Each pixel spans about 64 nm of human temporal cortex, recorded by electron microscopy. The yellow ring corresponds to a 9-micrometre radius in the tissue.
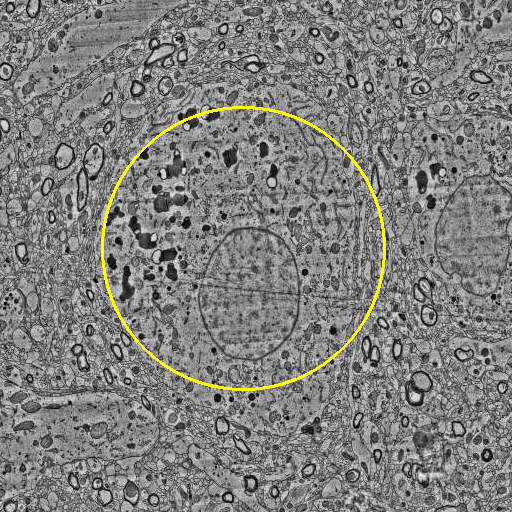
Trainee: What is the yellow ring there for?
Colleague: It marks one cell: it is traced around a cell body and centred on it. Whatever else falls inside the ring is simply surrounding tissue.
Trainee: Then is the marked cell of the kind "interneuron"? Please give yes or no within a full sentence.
No, the marked cell at the centre of the yellow ring is of a different kind.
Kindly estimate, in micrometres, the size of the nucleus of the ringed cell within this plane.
The nucleus comes to roughly 8 by 7 micrometres in this plane.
